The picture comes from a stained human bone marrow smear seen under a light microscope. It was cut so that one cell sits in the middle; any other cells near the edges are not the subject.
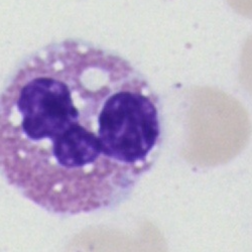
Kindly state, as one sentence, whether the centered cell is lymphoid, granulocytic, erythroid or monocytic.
The granulocytic lineage is the lineage of the cell in the middle.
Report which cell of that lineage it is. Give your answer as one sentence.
As for the central cell, it is an eosinophil.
